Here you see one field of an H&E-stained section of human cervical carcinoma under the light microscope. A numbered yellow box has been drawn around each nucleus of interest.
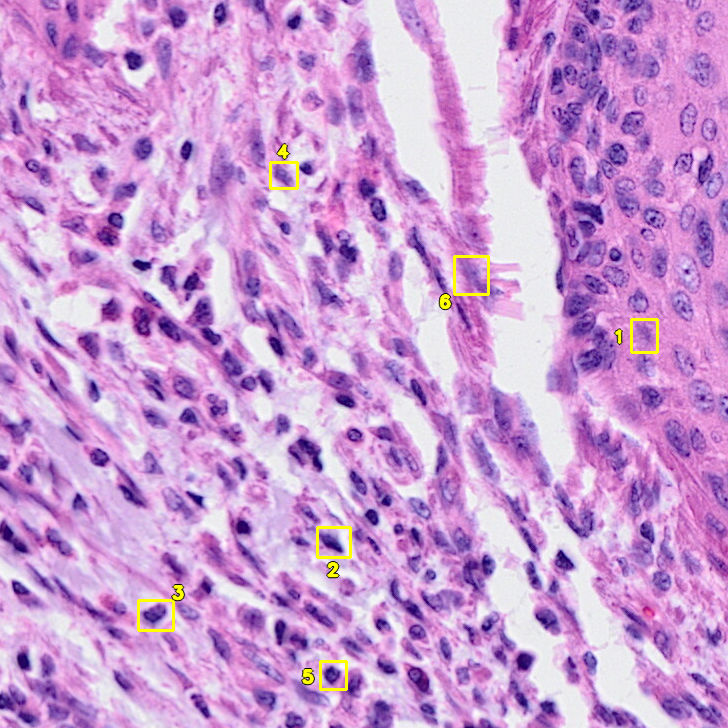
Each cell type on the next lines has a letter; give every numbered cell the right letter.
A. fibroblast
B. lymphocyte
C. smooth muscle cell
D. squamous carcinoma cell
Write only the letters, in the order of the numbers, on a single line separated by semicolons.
D; B; B; A; B; A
